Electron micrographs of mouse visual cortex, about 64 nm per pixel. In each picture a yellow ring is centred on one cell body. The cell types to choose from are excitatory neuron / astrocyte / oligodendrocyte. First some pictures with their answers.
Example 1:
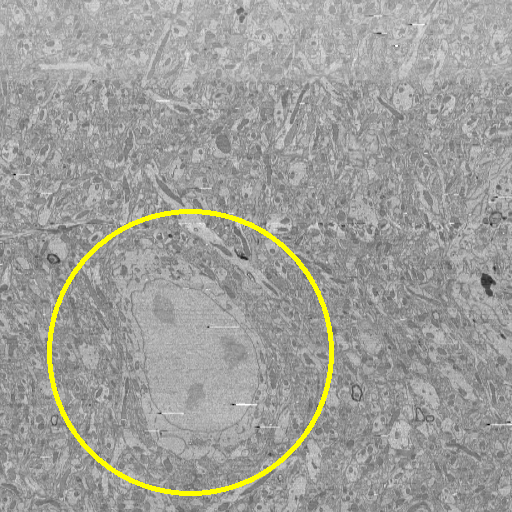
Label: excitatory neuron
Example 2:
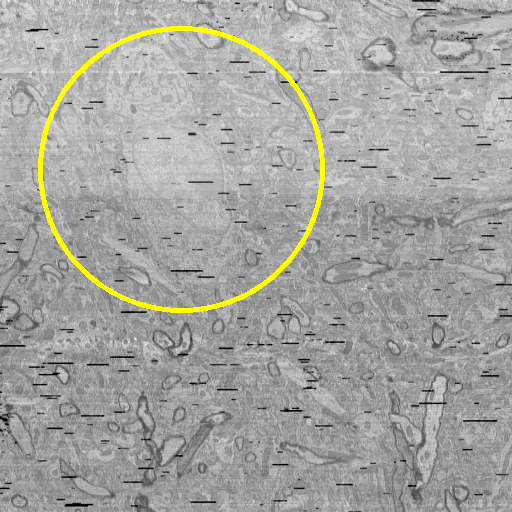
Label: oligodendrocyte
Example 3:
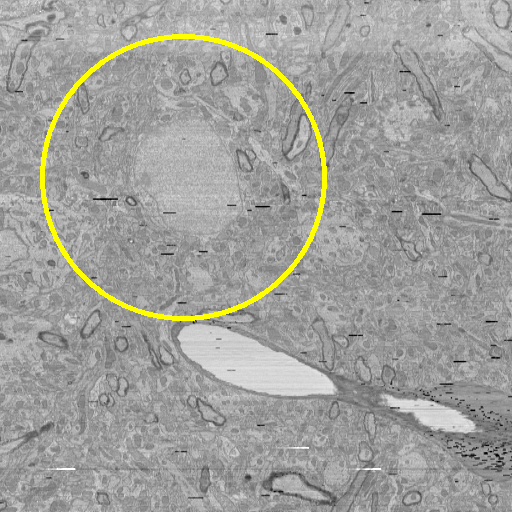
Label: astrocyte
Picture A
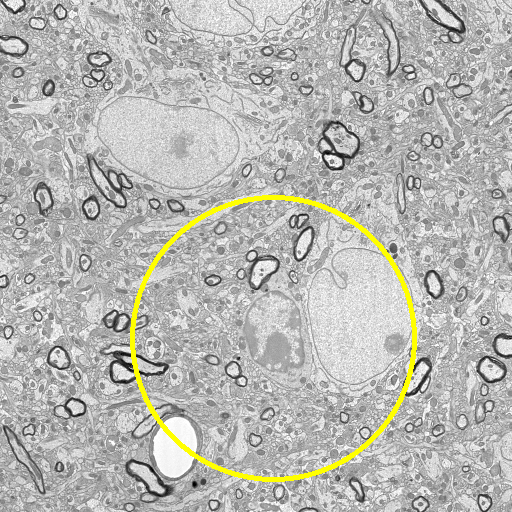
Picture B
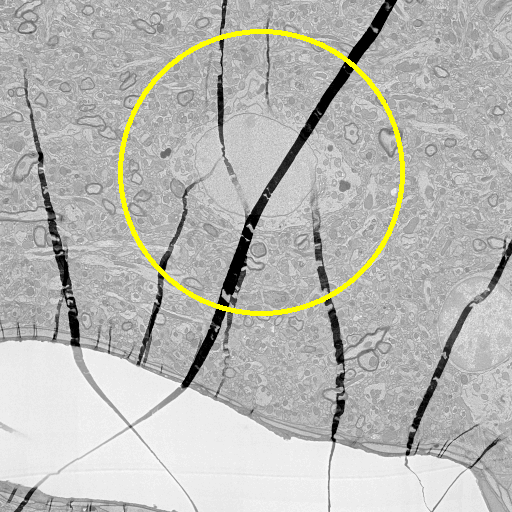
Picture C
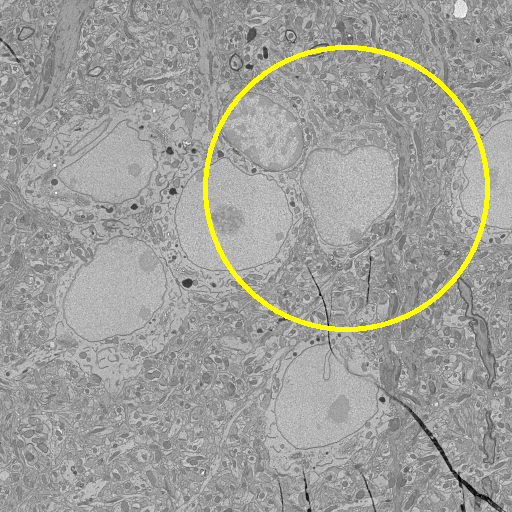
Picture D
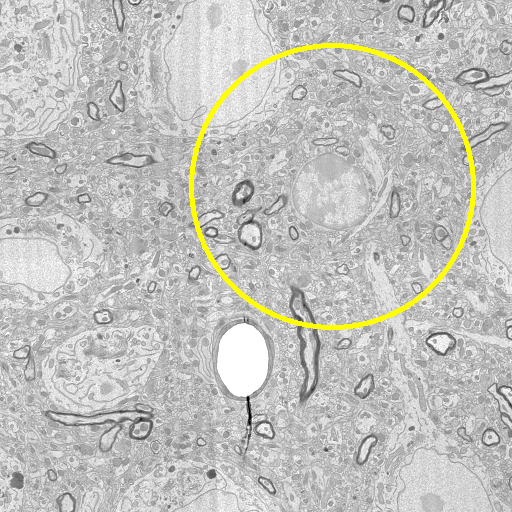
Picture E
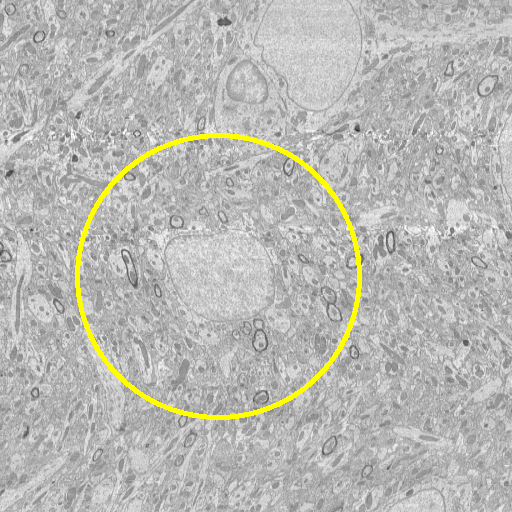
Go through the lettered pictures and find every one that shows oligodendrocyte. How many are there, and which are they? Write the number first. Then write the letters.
2, namely A, D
